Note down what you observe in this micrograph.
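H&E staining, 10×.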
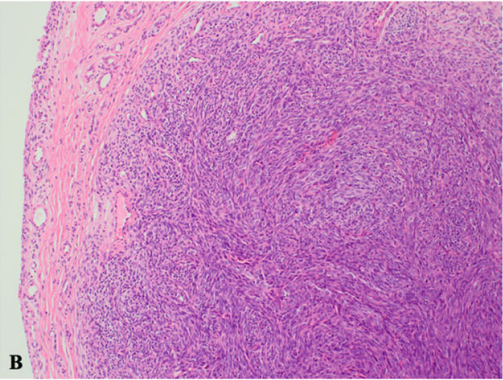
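Along the left edge runs a band of loose to dense pink fibrous tissue with a few small vessels. To its right, a sharply bordered, highly cellular tumour occupies most of the field. It is made of uniform spindle cells with elongated purple nuclei, arranged in interlacing and partly whorled fascicles. Occasional small vascular spaces are scattered through the tumour, and the border between the tumour and the pink fibrous tissue is fairly smooth.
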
